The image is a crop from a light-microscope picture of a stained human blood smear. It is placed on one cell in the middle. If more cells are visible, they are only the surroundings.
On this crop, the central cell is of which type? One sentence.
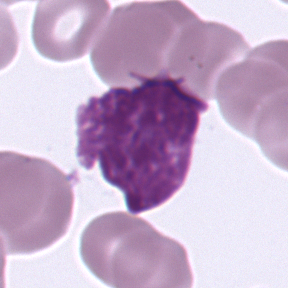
The cell centred in this crop is categorized as a smudge cell.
